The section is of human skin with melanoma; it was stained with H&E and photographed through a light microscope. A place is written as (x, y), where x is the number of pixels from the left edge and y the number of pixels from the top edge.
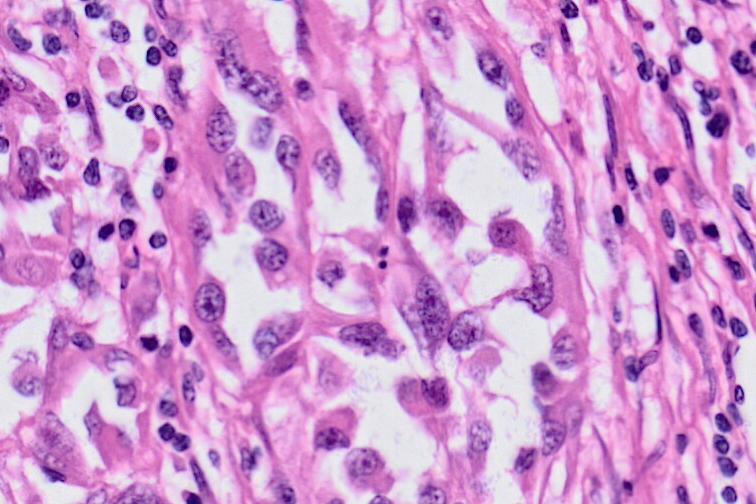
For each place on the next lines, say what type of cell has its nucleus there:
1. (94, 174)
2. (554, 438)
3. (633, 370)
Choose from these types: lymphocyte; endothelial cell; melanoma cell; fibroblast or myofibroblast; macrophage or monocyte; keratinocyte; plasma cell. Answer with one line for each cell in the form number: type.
1: lymphocyte
2: melanoma cell
3: lymphocyte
